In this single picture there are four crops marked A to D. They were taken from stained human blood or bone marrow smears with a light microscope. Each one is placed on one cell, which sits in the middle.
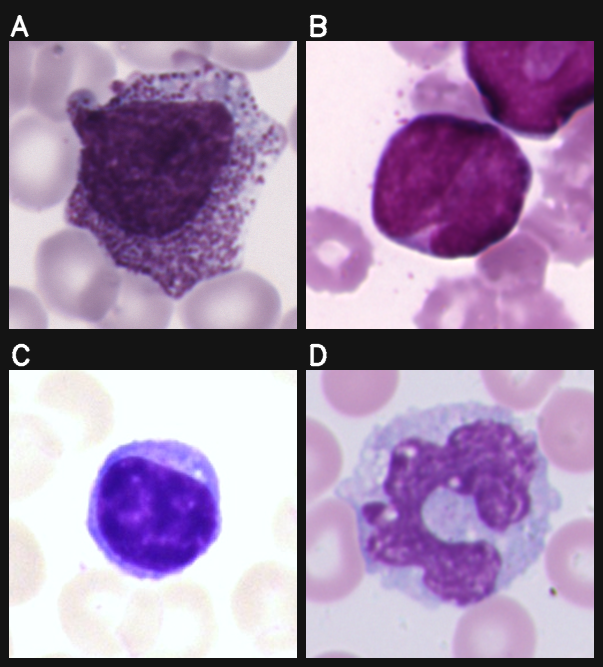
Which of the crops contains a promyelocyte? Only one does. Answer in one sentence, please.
The one crop that shows a promyelocyte is crop A.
